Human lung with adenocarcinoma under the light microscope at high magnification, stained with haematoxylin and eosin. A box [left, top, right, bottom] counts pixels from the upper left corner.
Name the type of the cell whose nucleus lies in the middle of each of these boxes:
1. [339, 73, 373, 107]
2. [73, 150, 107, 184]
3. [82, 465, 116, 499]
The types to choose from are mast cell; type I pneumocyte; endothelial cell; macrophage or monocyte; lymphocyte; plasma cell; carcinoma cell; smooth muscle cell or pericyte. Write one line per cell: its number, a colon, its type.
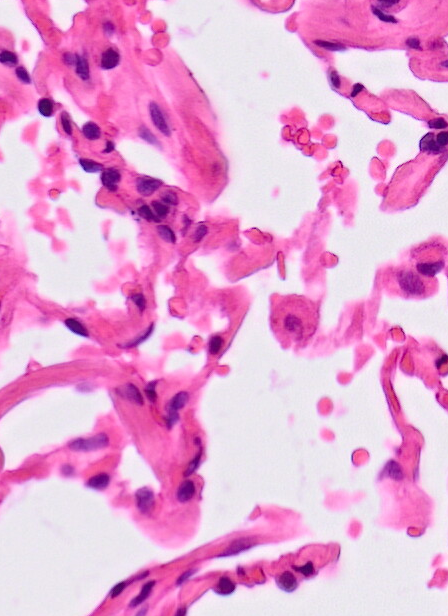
1: endothelial cell
2: type I pneumocyte
3: type I pneumocyte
